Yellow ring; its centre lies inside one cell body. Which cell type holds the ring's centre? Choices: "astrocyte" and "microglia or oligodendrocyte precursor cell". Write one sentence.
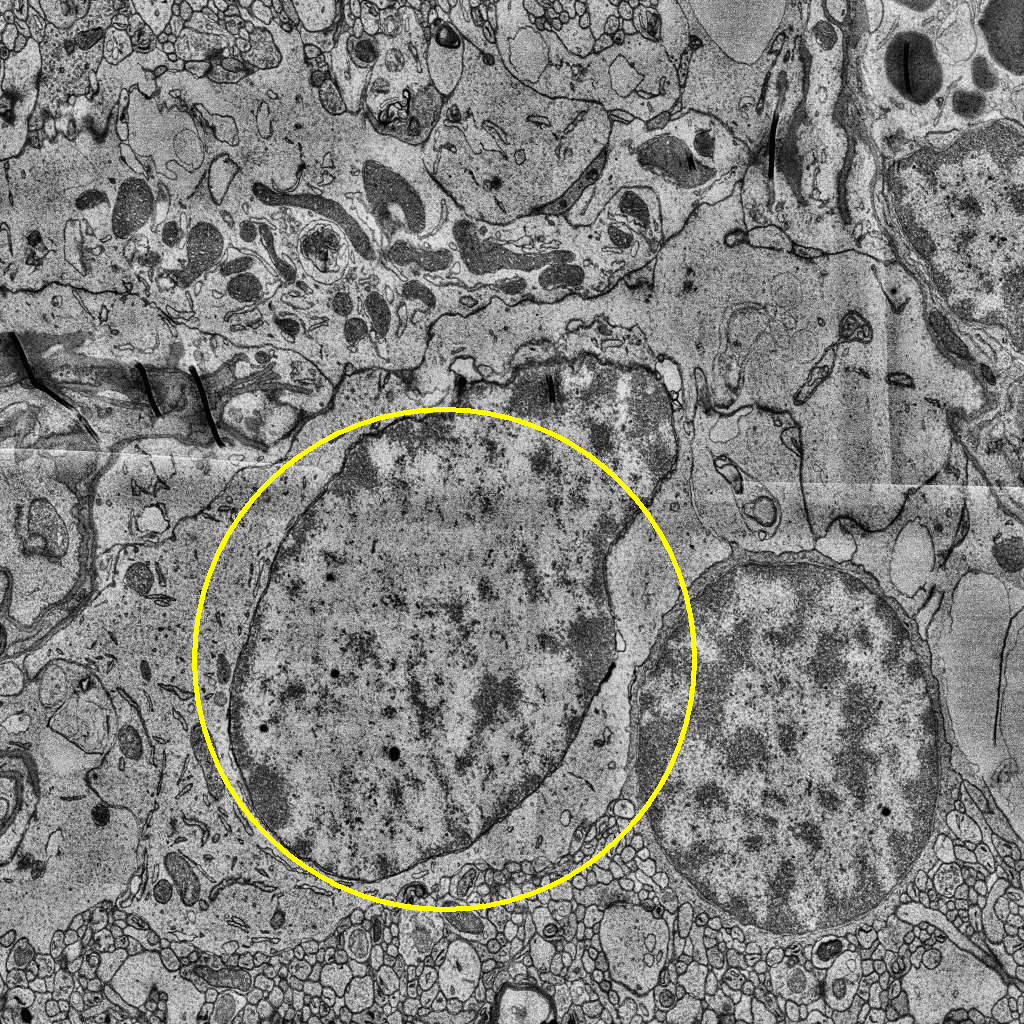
At the centre of the ring sits a microglial cell or oligodendrocyte precursor cell.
